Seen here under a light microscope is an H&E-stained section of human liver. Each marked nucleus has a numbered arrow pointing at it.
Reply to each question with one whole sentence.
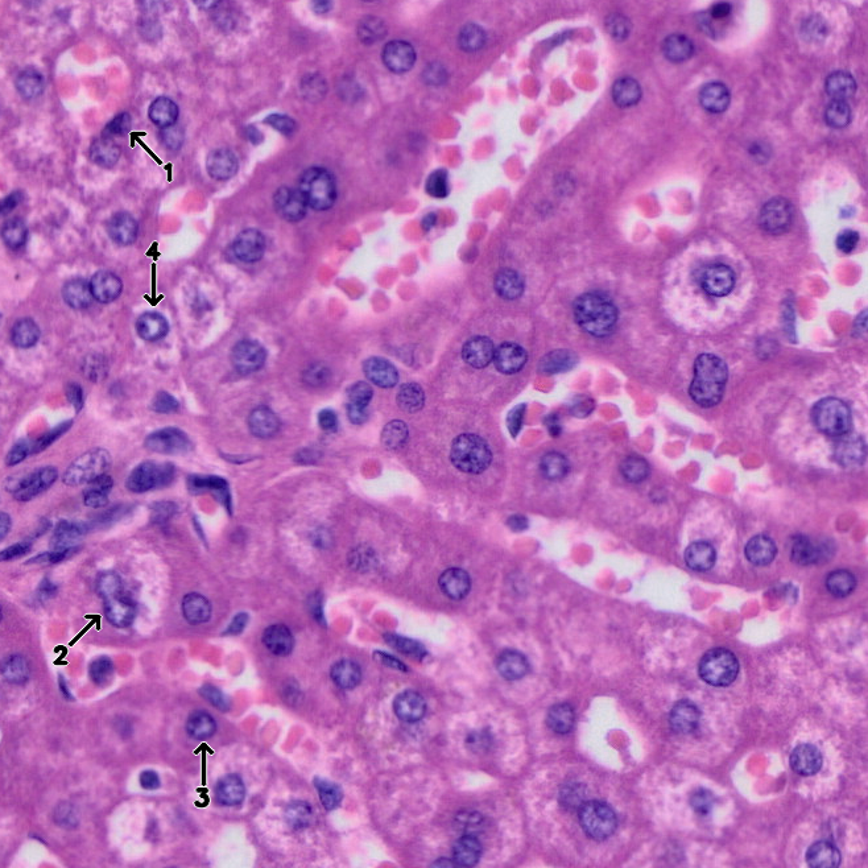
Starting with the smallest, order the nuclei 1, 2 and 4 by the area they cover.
Smallest first, the nuclei run 1, 4, 2.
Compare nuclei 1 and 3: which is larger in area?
Of the two, number 3 is bigger and takes up about 1.5 times the area of number 1.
